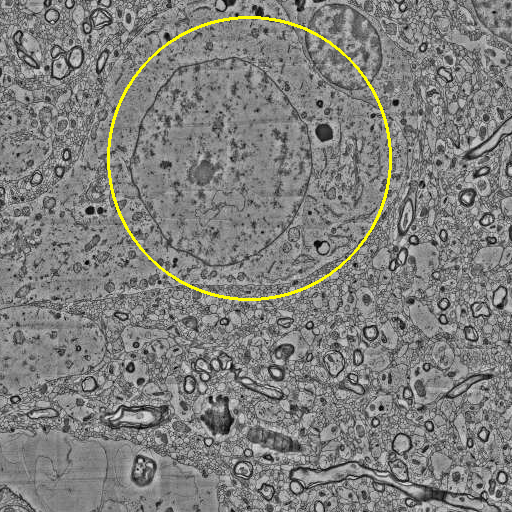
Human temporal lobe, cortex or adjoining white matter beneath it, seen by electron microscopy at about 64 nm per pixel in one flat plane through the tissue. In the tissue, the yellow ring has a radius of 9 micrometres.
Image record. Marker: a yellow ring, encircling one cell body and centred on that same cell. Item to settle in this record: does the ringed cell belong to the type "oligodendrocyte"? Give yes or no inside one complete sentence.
No, in the picture, the cell centred within the yellow ring is of a different type.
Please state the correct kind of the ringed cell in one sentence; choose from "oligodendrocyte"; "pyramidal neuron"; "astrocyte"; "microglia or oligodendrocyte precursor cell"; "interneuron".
Instead, the ring in this picture marks a pyramidal neuron.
